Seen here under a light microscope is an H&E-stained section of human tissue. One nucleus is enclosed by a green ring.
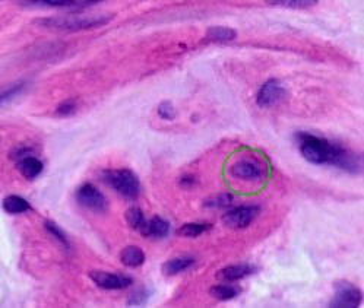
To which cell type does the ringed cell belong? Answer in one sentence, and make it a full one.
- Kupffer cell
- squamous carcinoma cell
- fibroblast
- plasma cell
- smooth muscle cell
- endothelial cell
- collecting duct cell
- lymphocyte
Right, so the ringed cell is a smooth muscle cell, to answer that.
